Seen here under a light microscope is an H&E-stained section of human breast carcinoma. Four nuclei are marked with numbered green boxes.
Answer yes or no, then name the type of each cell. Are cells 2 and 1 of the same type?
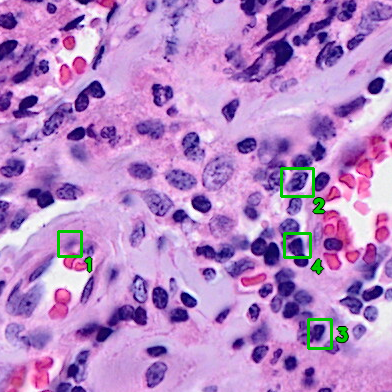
No, mate, cell 2 is a lymphocyte and cell 1 is an endothelial cell.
